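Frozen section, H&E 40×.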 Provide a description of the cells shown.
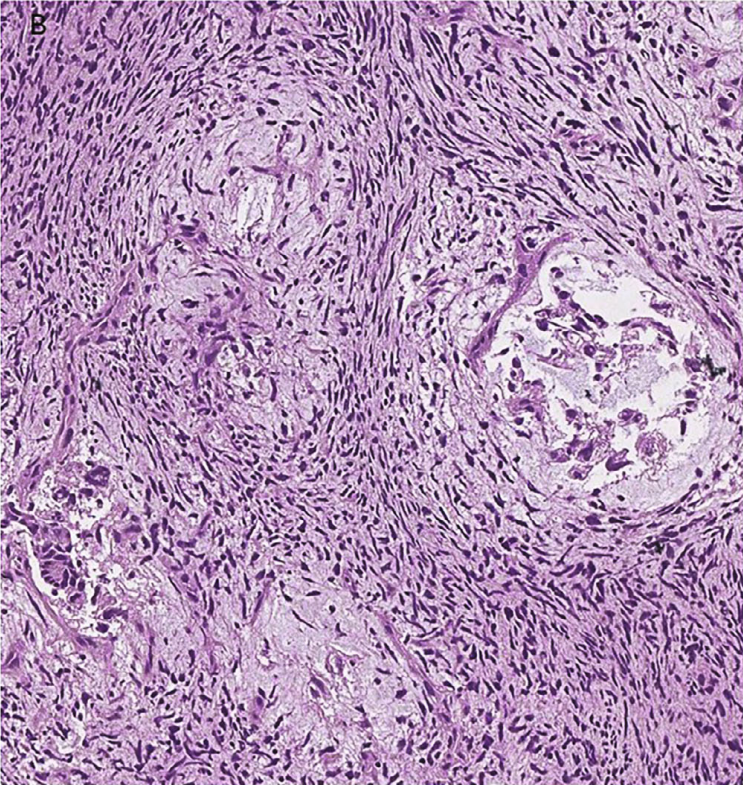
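This is a cellular tumour of sarcomatoid, basophilic spindle cells set in a pale pink fibrillary stroma. The elongated cells have dark purple, tapering nuclei and stream in sweeping, interlacing bundles across the field. Between the bundles lie pale, loose, bluish-grey areas; the largest, on the right, is a rounded pool holding a small cluster of larger, irregular cells with more cytoplasm. Smaller loose pale zones appear elsewhere. The nuclei vary in size and darkness, and the overall picture is of a disorganised spindle cell proliferation rather than a normal tissue pattern.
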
